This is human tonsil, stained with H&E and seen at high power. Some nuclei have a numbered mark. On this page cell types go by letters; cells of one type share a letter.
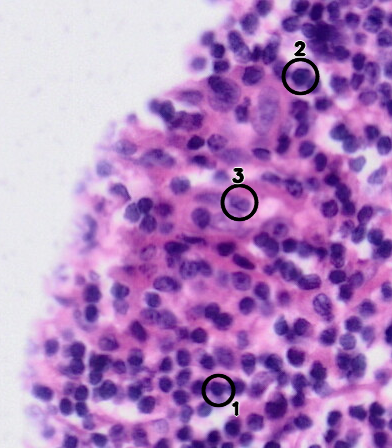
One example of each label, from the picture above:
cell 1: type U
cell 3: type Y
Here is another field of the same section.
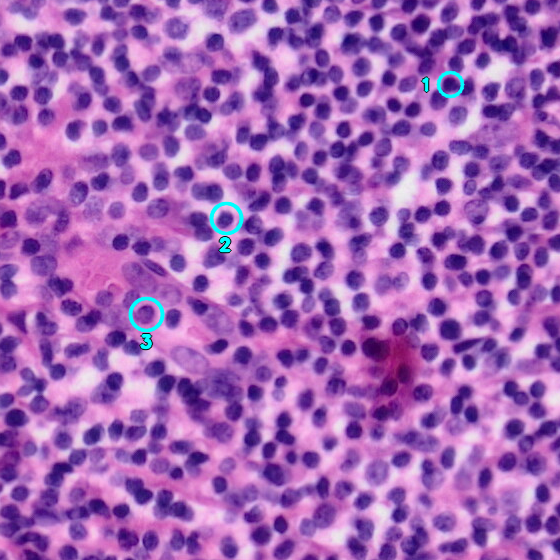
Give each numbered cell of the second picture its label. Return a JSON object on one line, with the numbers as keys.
{"1": "type U", "2": "type U", "3": "type Y"}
